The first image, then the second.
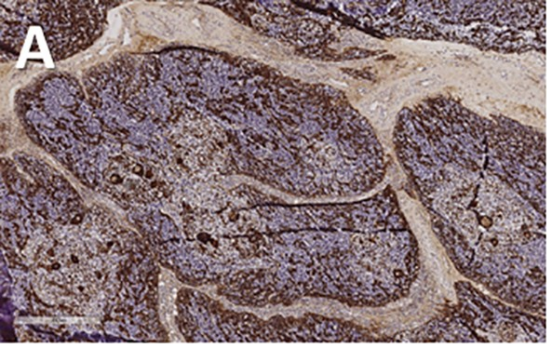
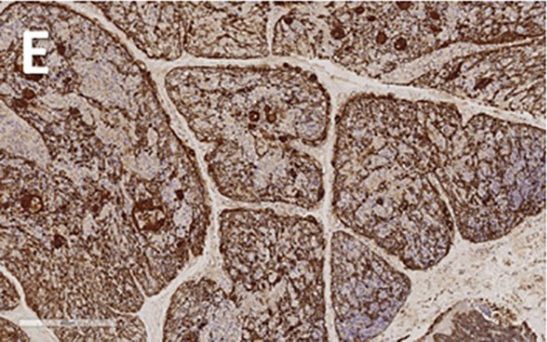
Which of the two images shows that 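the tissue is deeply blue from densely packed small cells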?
the first image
